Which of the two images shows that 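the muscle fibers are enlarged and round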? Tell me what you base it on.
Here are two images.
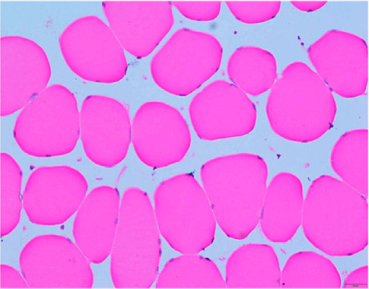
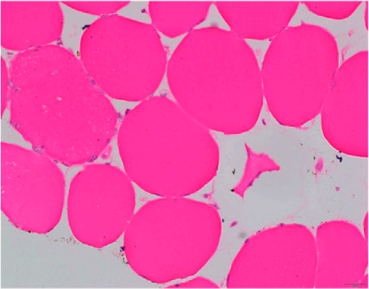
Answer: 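The second image. Second image: large rounded pink fiber profiles with wide gaps between them. First image: smaller, more polygonal fiber profiles packed closely together.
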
